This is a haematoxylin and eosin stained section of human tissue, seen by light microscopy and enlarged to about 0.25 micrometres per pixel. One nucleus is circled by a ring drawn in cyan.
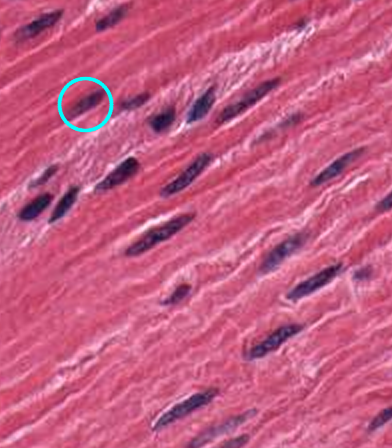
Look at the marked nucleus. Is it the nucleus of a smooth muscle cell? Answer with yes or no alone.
yes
